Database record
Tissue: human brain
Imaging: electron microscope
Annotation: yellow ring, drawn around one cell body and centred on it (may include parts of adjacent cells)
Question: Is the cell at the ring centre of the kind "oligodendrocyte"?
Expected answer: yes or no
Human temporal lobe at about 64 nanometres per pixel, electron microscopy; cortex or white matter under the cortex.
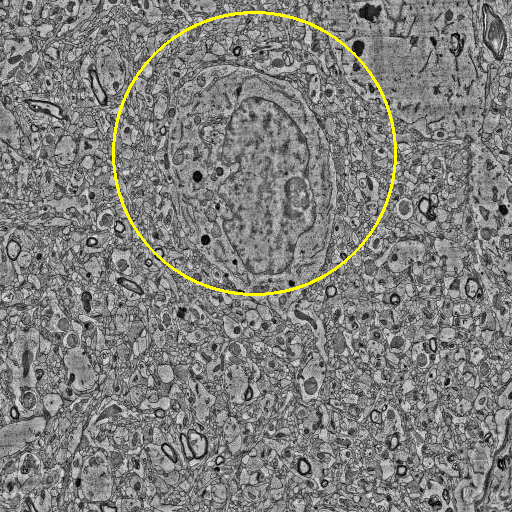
no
